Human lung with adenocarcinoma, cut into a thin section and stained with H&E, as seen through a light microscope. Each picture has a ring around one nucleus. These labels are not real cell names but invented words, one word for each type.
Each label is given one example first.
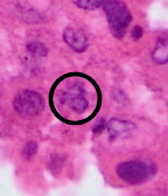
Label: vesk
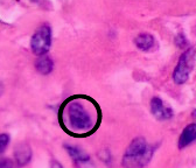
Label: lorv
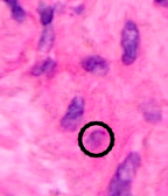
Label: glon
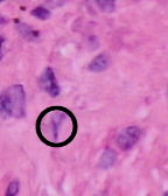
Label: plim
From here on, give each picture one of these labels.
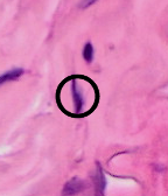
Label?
plim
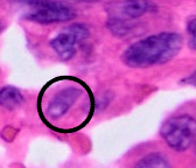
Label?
vesk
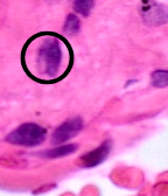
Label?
plim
